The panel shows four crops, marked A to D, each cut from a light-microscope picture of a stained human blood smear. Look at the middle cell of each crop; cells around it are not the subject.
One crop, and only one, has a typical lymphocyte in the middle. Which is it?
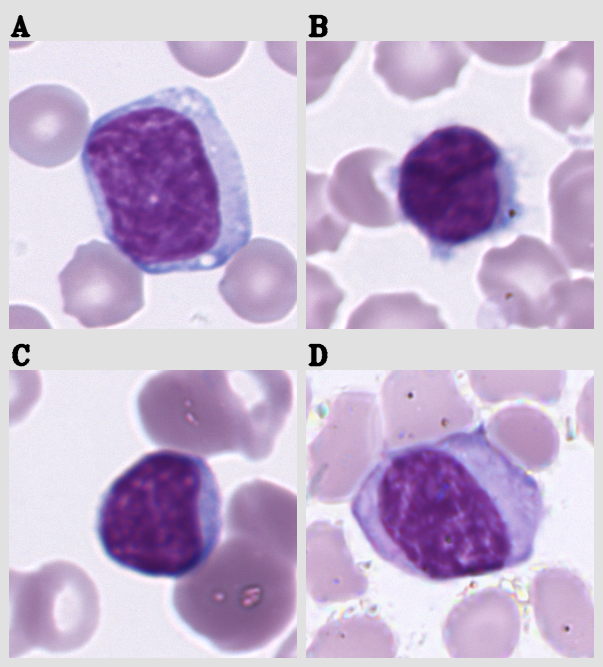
C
